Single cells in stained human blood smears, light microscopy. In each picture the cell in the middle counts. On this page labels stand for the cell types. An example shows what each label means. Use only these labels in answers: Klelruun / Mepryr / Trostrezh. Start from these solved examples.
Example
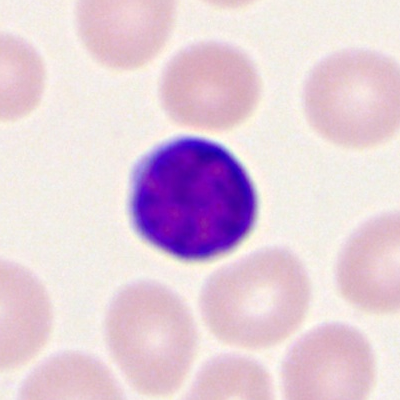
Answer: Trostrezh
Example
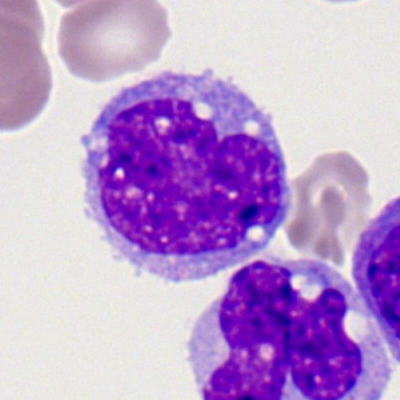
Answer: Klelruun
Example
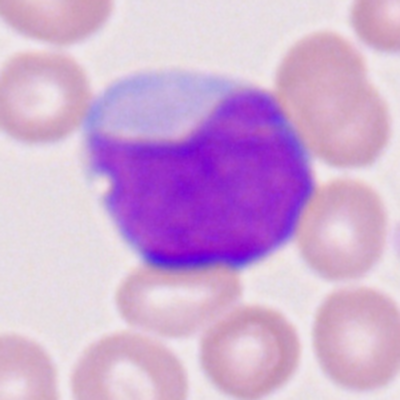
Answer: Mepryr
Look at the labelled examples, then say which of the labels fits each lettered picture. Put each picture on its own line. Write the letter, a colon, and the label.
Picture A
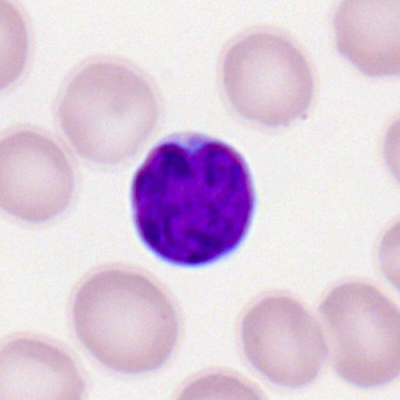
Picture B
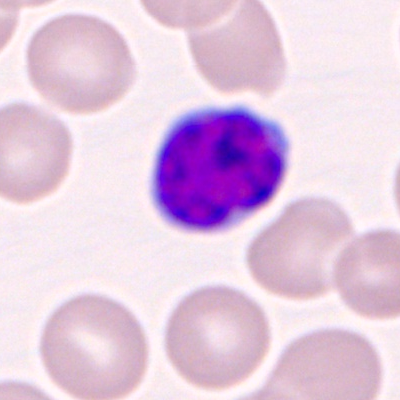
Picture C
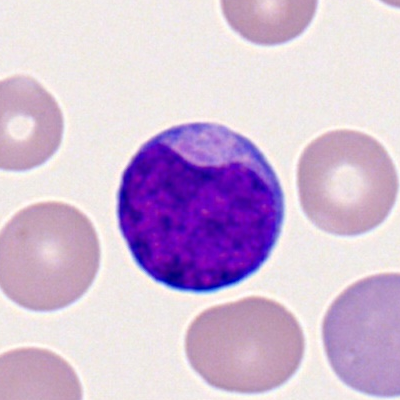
A: Trostrezh
B: Trostrezh
C: Mepryr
